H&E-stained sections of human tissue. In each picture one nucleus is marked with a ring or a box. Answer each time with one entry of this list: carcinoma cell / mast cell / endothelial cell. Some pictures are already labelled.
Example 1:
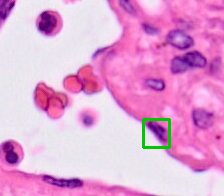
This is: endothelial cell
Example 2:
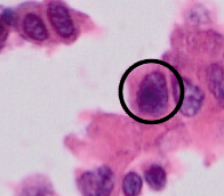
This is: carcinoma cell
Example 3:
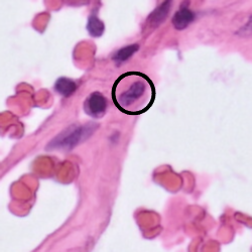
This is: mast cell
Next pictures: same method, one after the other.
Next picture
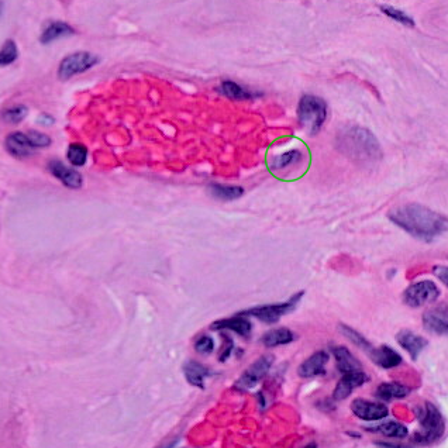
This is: endothelial cell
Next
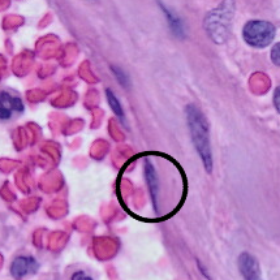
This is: endothelial cell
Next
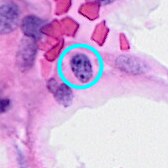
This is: mast cell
